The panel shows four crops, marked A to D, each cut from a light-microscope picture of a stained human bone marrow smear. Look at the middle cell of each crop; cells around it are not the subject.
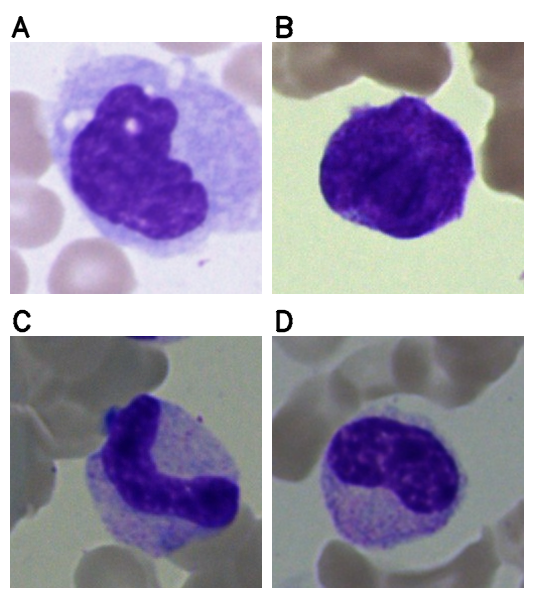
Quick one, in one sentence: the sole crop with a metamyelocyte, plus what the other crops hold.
The middle of crop D holds a metamyelocyte, while crop A is a monocyte, crop B is a blast and crop C is a band neutrophil.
